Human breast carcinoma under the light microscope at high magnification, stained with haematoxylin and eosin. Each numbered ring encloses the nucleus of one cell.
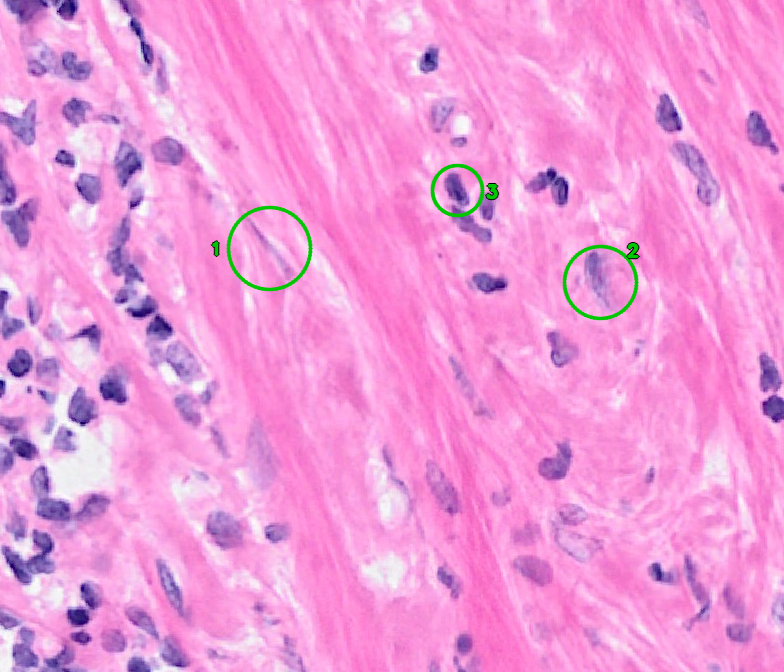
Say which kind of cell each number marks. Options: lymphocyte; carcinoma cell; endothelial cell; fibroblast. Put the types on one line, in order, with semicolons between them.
fibroblast; fibroblast; lymphocyte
